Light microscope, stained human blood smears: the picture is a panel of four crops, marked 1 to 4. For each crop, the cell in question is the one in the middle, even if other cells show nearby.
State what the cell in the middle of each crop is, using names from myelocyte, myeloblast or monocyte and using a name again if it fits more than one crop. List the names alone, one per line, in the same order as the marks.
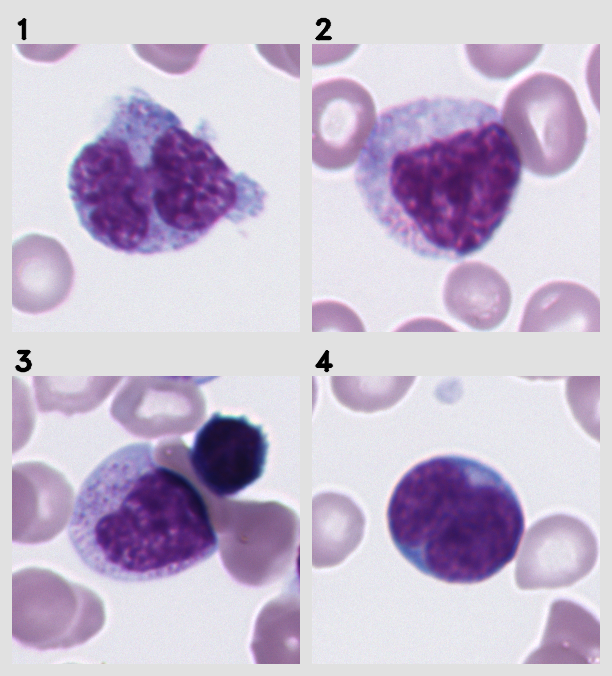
monocyte
myelocyte
myelocyte
myeloblast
